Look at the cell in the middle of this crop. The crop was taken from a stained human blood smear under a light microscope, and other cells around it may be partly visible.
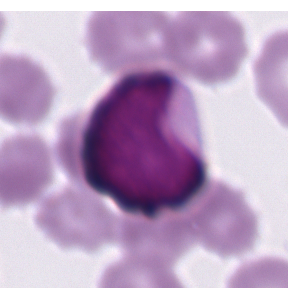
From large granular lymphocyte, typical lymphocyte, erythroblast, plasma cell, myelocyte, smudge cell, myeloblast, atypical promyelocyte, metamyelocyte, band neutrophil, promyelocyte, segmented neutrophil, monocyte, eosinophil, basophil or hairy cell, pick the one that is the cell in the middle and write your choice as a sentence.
The central cell shown in this smear crop is a myeloblast.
